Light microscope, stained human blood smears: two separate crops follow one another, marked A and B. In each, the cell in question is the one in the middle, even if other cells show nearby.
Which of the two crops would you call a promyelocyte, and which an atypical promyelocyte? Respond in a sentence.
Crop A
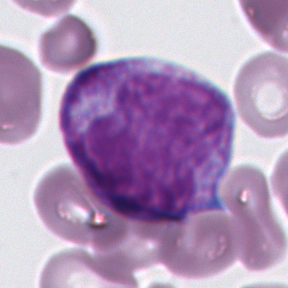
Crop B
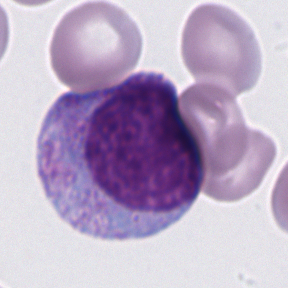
Crop A has been identified as an atypical promyelocyte, and crop B has been identified as a promyelocyte.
